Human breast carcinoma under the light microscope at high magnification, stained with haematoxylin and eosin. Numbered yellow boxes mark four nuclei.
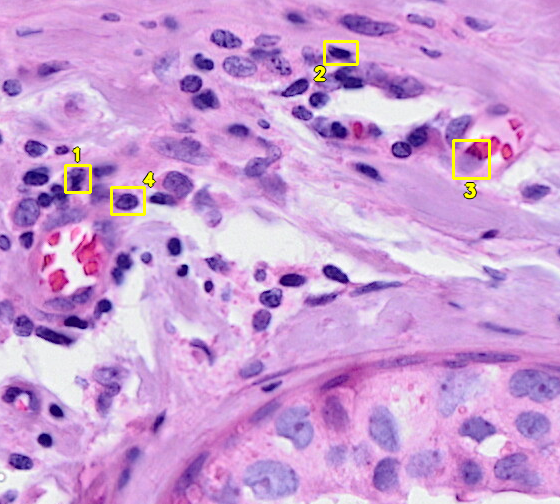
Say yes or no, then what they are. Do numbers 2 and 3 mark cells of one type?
No, the cell tagged 2 is a lymphocyte, whereas the cell tagged 3 is an endothelial cell.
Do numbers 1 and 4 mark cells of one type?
Yes, cells 1 and 4 are both recognised as lymphocytes.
